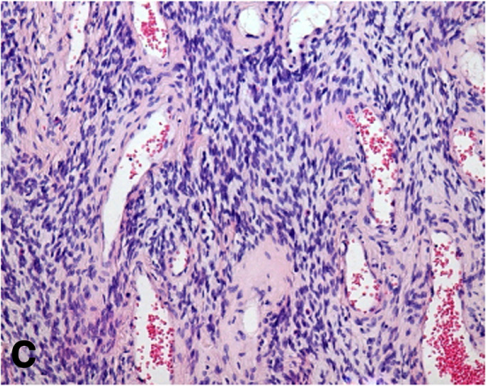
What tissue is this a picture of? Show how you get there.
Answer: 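Densely packed spindle-shaped nuclei in streams. Some areas are denser in cells than others.
Answer: Cellular mesenchymal lesion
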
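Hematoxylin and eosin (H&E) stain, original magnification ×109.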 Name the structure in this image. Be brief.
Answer: small blood vessels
